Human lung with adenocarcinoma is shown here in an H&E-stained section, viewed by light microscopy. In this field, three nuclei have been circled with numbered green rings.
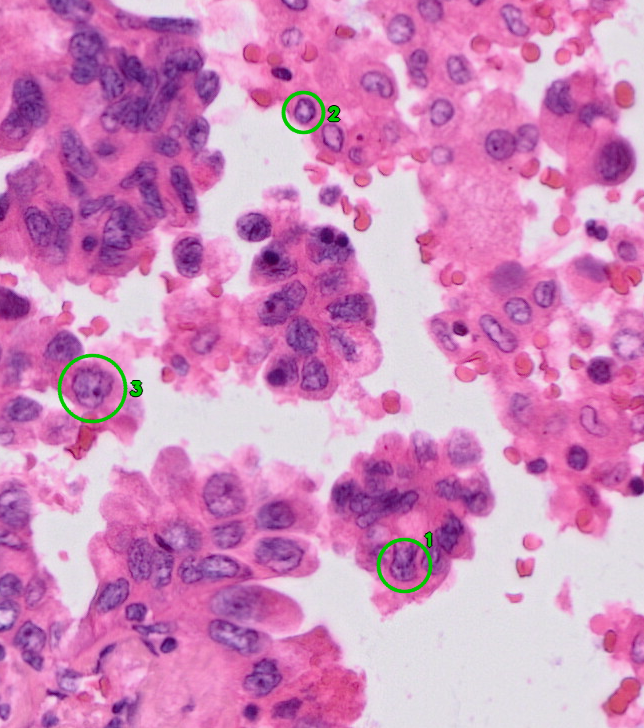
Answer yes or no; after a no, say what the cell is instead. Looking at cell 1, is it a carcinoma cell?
Yes.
